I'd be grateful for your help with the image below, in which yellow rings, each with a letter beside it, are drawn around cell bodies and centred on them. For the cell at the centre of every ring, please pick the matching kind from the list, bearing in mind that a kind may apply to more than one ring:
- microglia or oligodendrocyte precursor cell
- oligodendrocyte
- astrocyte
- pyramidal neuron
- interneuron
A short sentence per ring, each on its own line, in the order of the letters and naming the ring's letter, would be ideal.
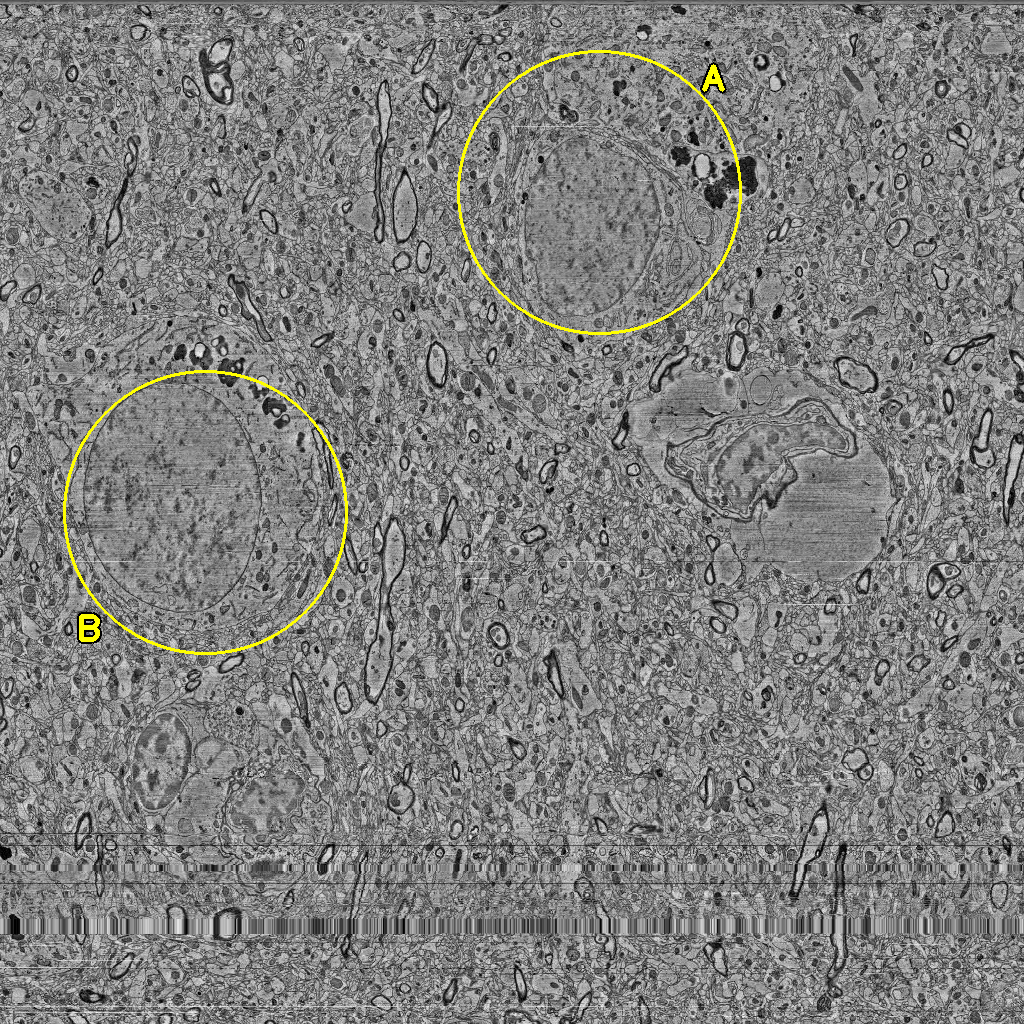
Inside ring A, the central cell is an interneuron.
Inside ring B, the central cell is a pyramidal neuron.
